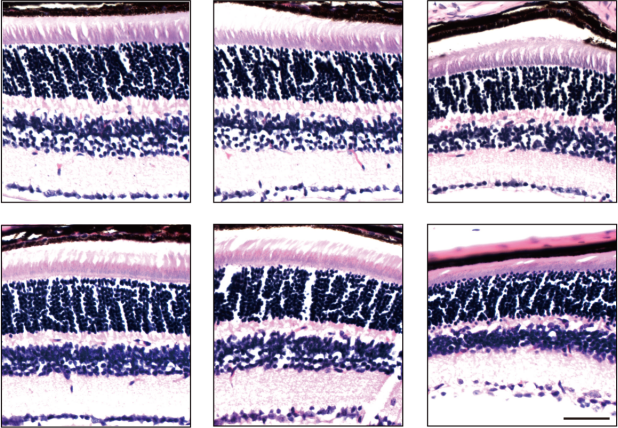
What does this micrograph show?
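These are cross-sections of the retina in six frames, each showing the same sequence of layers from top to bottom. At the top, a black pigmented band overlies a pink, finely striated band formed by the photoreceptor outer and inner segments. Beneath it is a thick outer nuclear layer of densely packed, small, round, dark-purple nuclei arranged in vertical columns. A thin pale pink outer plexiform layer separates this from the inner nuclear layer, a narrower band of somewhat larger, less tightly packed purple nuclei. At the bottom, a single discontinuous row of scattered nuclei forms the ganglion cell layer.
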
